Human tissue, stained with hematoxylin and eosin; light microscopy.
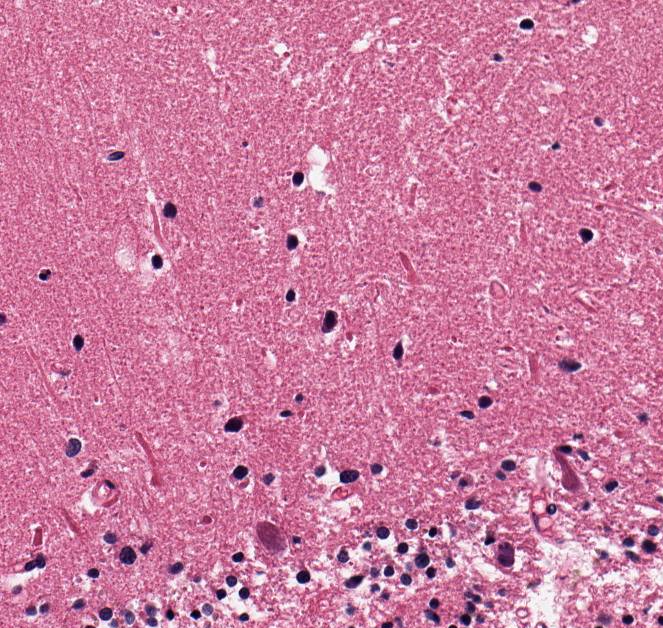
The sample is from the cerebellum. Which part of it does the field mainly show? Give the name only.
molecular layer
